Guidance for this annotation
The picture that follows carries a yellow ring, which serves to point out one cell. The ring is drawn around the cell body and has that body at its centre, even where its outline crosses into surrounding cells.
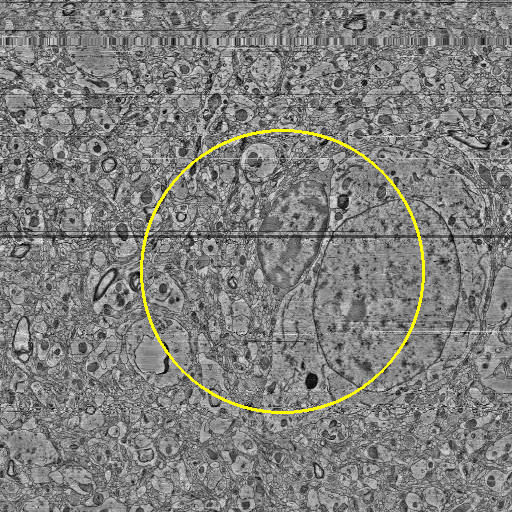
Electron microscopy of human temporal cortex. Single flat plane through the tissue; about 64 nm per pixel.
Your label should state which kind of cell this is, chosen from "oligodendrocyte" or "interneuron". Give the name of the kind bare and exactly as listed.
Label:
oligodendrocyte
